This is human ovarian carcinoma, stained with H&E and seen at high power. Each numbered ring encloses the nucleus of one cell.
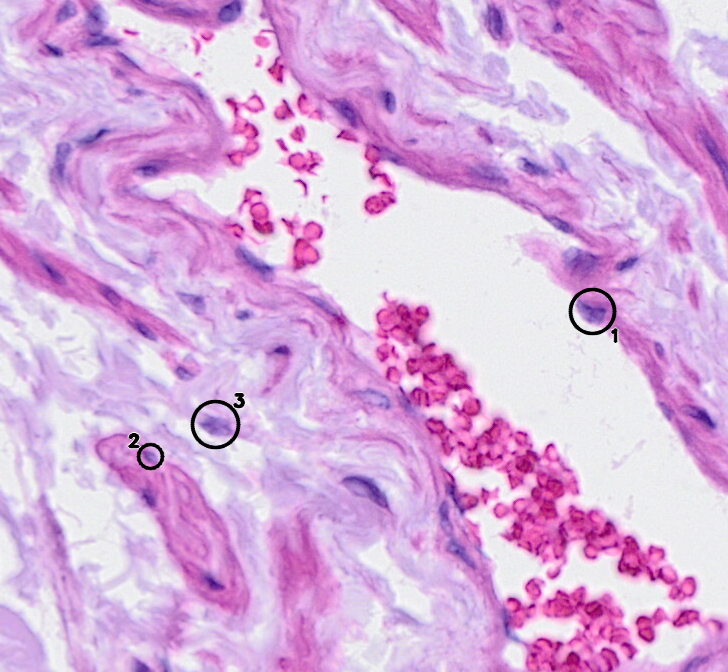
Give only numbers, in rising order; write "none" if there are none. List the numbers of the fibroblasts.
3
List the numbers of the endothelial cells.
1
